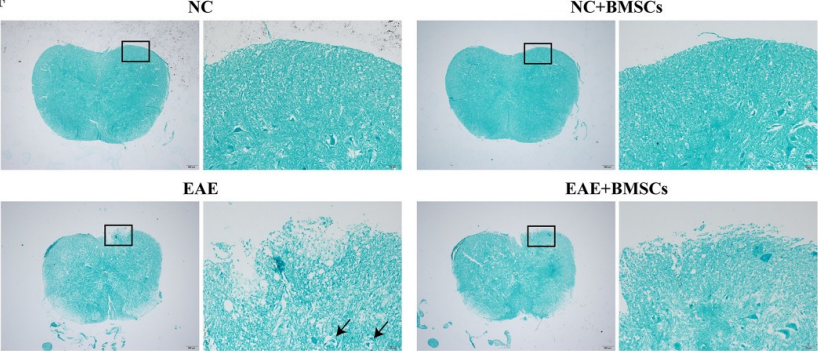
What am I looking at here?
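These are cross-sections of spinal cord stained blue-green, each shown whole at low power beside an enlarged view of the white matter near its dorsal edge. In one, the staining there is pale, patchy and riddled with holes, an area of demyelination marked by black arrows.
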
